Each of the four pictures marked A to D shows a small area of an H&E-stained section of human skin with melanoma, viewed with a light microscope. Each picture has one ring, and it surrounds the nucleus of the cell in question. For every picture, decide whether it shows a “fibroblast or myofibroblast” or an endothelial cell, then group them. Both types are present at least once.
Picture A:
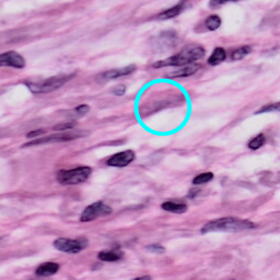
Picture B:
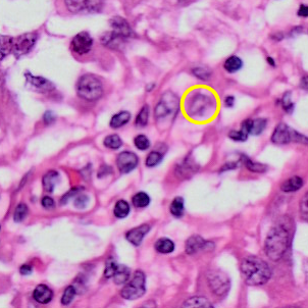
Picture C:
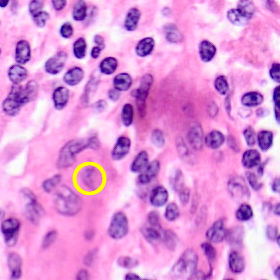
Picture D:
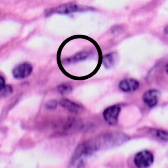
A: fibroblast or myofibroblast
B: endothelial cell
C: endothelial cell
D: fibroblast or myofibroblast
